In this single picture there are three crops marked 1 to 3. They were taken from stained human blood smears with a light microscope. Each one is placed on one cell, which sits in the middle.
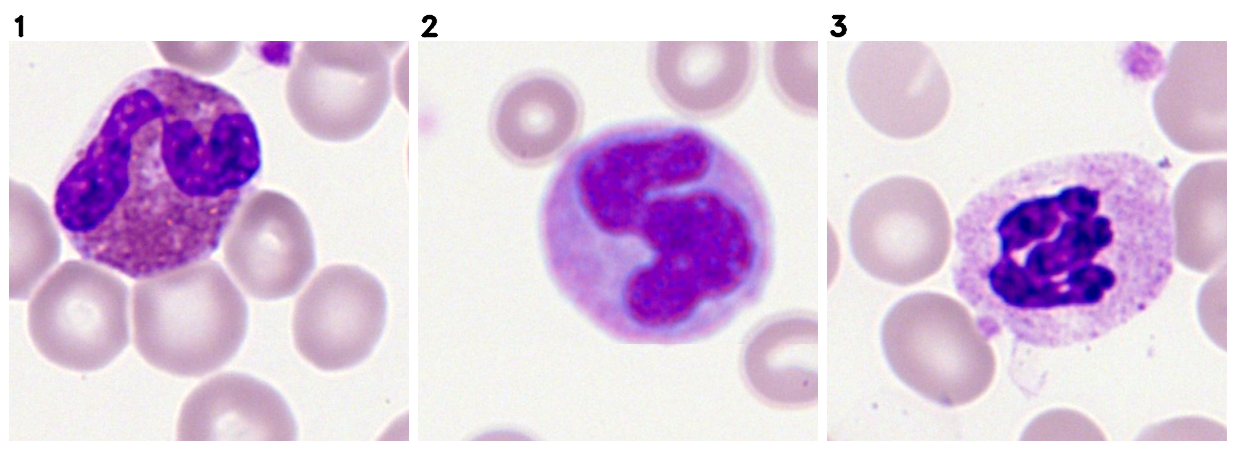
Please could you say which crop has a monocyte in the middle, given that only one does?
2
